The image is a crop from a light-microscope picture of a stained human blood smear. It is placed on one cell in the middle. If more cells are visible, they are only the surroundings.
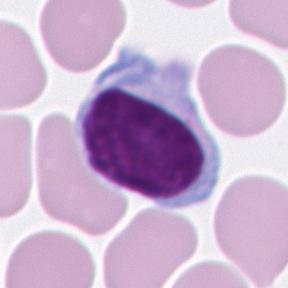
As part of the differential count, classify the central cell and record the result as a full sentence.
The central cell, amid any neighbouring cells, is a typical lymphocyte.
